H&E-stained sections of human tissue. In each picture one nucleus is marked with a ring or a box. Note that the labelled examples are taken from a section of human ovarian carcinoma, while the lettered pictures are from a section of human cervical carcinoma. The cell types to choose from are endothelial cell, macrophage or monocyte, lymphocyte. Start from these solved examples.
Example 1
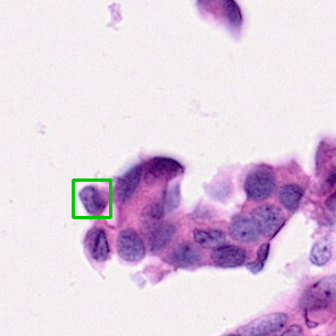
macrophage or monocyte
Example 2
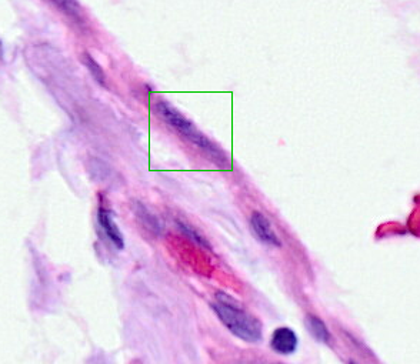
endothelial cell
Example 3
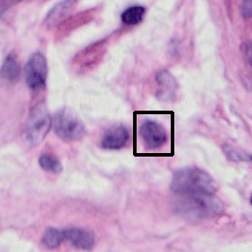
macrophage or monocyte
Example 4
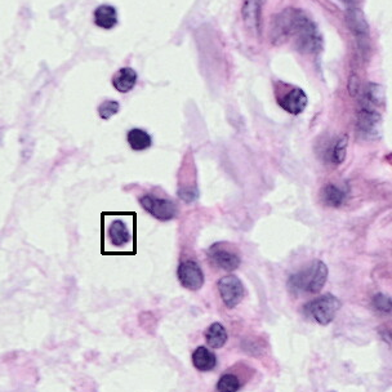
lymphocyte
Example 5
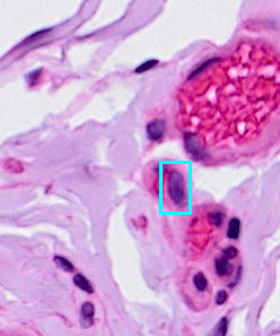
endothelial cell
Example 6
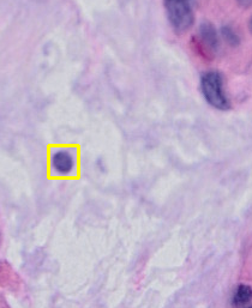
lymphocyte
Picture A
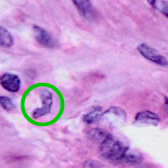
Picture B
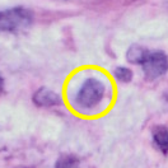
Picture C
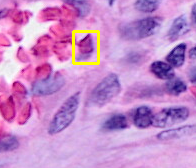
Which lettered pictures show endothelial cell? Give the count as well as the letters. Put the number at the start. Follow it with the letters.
1, namely C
